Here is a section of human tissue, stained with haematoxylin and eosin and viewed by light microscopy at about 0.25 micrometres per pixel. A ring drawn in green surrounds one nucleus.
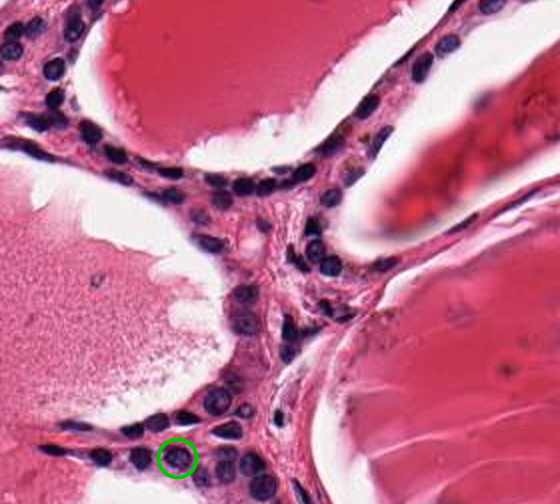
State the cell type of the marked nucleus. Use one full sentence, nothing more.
The marked nucleus, in this picture, belongs to a thyroid follicular cell.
